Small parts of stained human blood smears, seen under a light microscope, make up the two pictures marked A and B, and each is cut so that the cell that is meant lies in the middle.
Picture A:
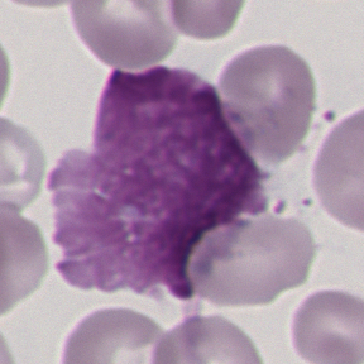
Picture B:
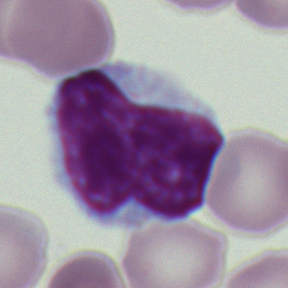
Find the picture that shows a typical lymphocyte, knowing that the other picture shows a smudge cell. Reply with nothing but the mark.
B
